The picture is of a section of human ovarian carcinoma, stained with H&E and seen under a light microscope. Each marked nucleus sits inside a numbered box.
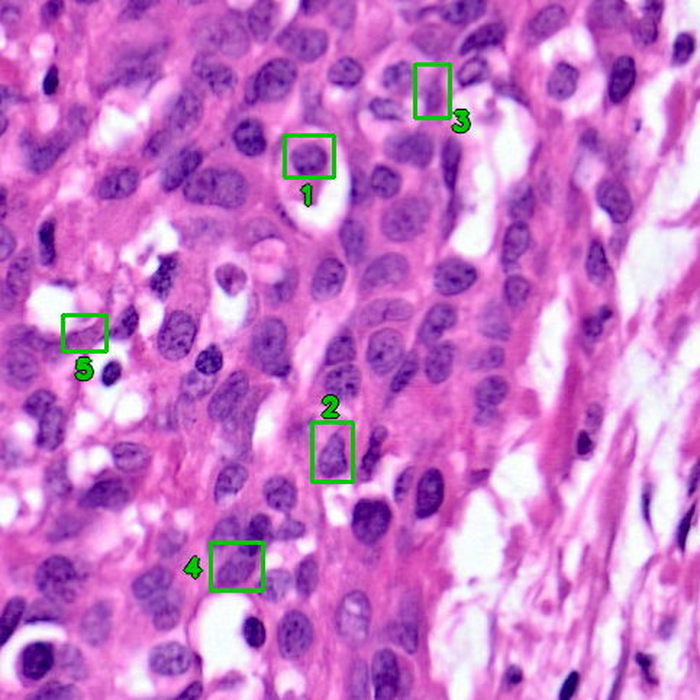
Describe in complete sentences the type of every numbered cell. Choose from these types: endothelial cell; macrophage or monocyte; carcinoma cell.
Cell 1 is a macrophage or monocyte, cell 2 is a macrophage or monocyte, cell 3 is a carcinoma cell, cell 4 is a carcinoma cell and cell 5 is a carcinoma cell.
